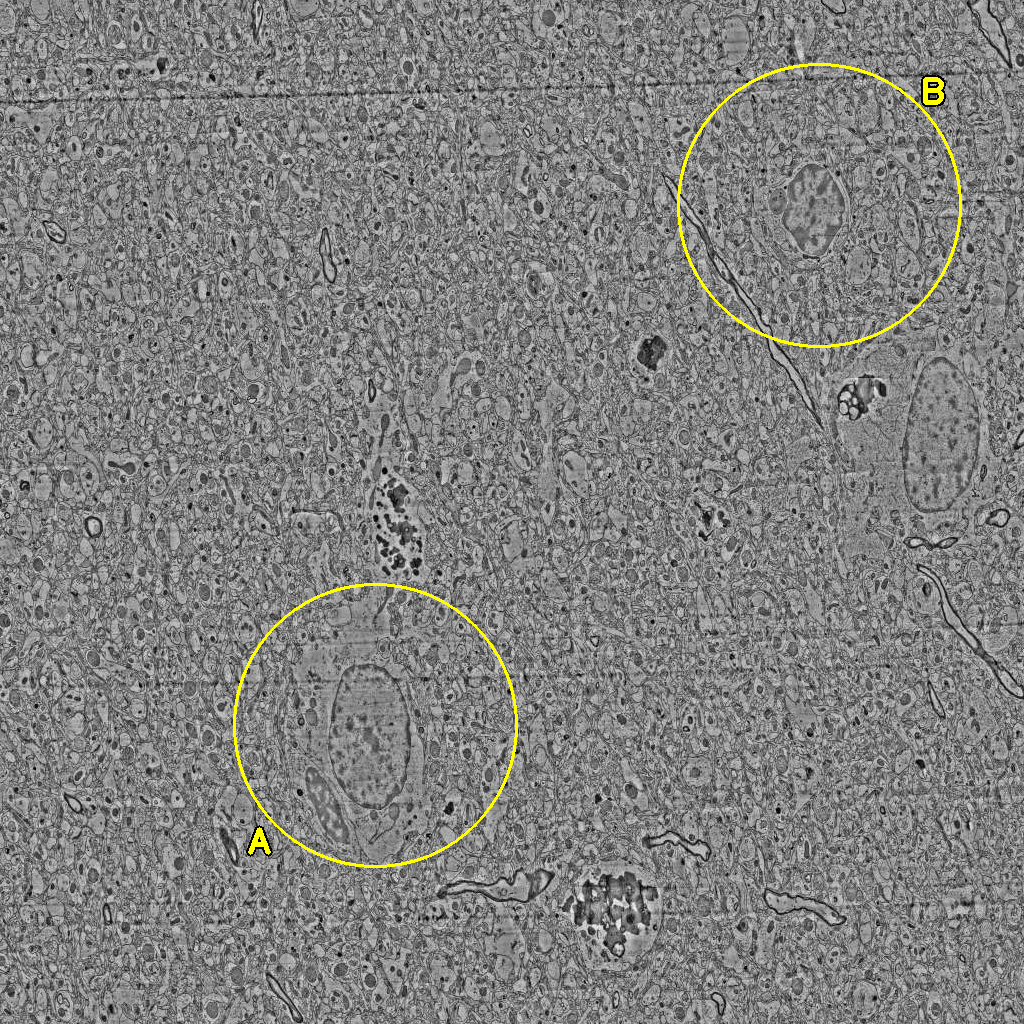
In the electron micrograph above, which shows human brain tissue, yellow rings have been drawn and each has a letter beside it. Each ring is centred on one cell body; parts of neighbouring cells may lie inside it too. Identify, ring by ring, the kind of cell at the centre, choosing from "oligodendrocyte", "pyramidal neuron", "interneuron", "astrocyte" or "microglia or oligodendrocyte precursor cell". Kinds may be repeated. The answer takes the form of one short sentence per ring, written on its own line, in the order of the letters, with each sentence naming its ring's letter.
Inside ring A, at its centre, is an astrocyte.
Inside ring B, at its centre, is a microglial cell or oligodendrocyte precursor cell.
